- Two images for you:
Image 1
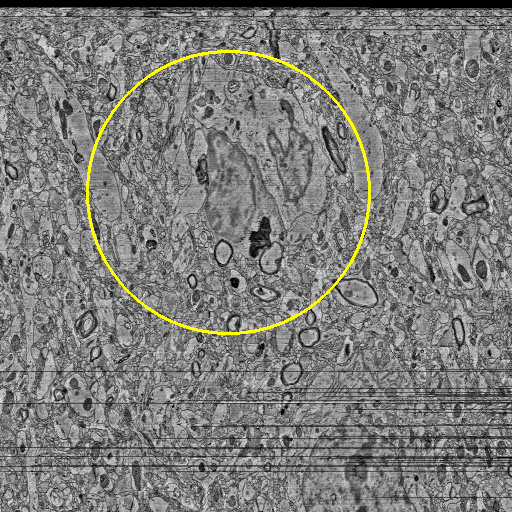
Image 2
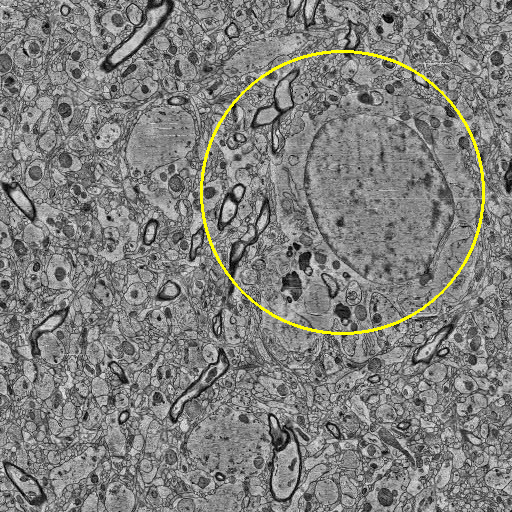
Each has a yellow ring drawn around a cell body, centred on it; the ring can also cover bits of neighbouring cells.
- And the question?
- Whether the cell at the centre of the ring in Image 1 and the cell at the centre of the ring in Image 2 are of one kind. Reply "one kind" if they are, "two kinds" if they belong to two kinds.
two kinds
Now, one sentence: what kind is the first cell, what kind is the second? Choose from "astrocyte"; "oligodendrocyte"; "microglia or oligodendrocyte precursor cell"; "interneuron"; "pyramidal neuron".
The first picture has an oligodendrocyte at its ring centre, and the second has an astrocyte.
